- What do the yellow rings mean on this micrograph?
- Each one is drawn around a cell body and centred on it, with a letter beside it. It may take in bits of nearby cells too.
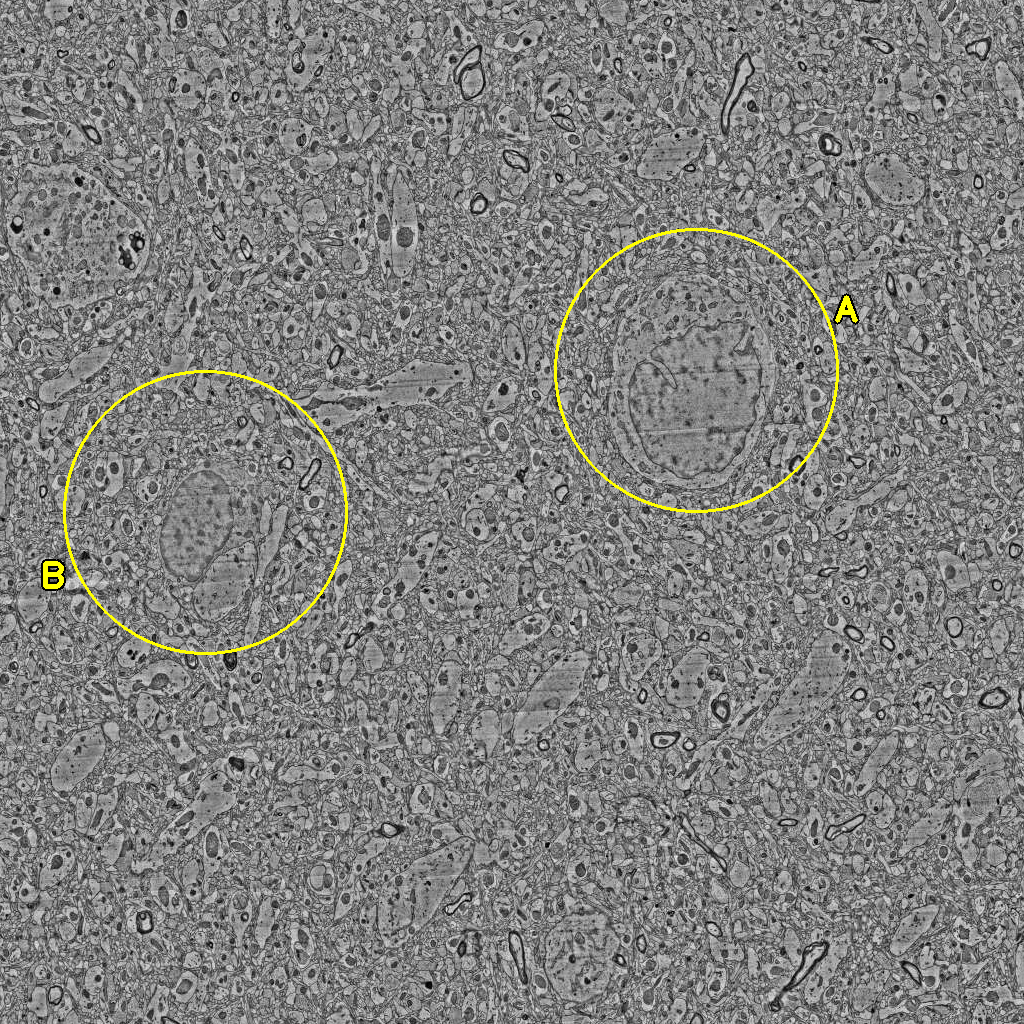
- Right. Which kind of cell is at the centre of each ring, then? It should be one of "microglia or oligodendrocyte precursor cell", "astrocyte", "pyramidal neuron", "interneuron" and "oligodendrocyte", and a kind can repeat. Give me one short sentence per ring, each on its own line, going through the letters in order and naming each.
Ring A circles the cell body of an interneuron.
Ring B circles the cell body of an oligodendrocyte.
